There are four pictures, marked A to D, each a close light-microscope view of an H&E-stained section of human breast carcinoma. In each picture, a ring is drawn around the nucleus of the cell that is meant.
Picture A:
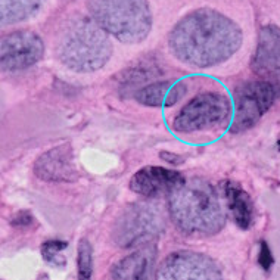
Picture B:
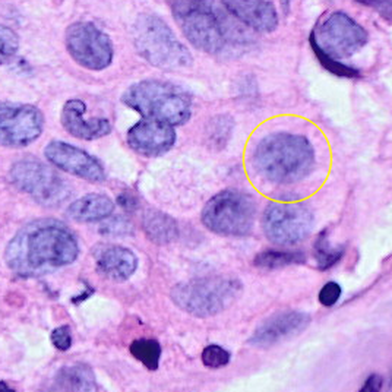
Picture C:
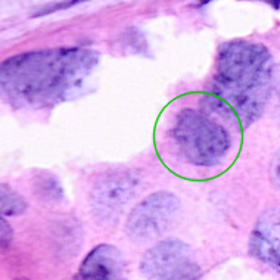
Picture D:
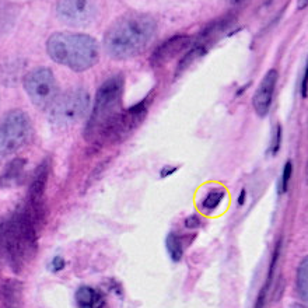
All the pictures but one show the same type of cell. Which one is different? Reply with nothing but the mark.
D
